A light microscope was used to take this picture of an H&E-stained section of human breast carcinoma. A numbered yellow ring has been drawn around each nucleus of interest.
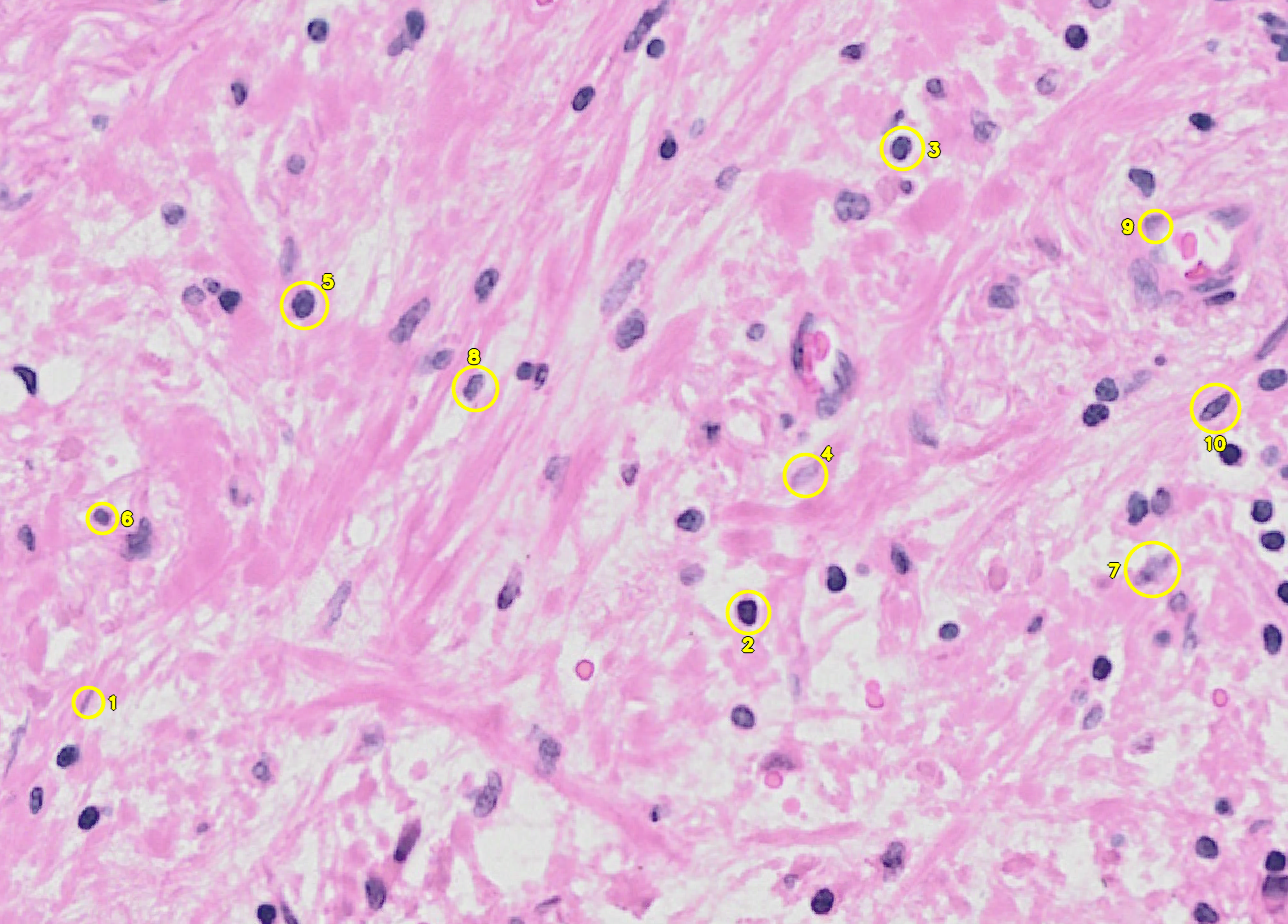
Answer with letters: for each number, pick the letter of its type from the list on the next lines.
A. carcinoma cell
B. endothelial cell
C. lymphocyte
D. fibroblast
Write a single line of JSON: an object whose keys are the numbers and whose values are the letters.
{"1": "D", "2": "C", "3": "C", "4": "D", "5": "C", "6": "C", "7": "D", "8": "C", "9": "B", "10": "C"}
